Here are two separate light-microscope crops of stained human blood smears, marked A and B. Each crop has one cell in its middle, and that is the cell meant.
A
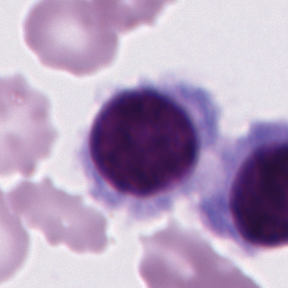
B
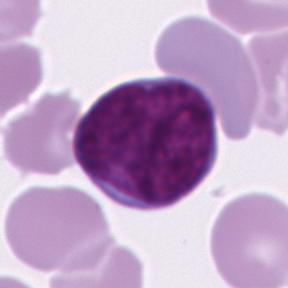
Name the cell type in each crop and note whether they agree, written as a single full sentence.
No, the correct reading is a hairy cell in crop A and a myeloblast in crop B.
